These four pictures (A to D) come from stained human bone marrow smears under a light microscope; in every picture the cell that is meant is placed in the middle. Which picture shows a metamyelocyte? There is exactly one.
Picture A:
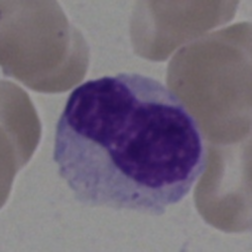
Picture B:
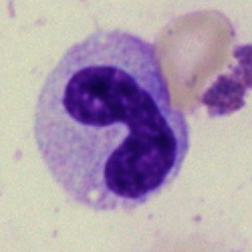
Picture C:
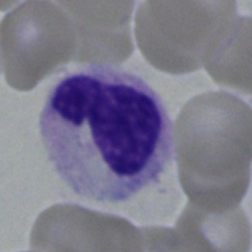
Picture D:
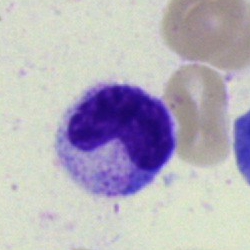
A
